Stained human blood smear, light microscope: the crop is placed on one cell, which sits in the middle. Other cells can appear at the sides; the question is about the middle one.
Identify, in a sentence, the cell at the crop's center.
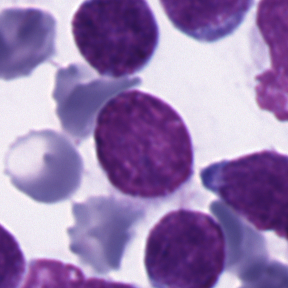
Present in the middle of the crop is a myeloblast.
